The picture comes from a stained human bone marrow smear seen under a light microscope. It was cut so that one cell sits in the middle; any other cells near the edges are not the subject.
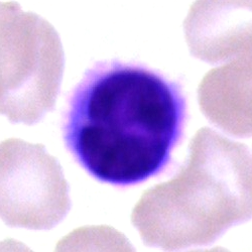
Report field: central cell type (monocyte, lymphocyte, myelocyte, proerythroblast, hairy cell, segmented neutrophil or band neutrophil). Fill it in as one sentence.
Here the centrally located cell is a hairy cell.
